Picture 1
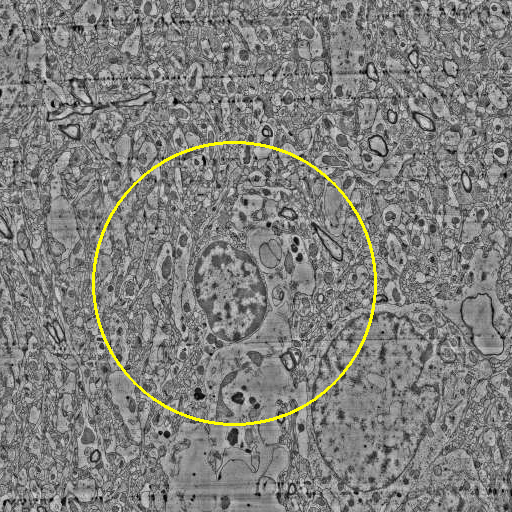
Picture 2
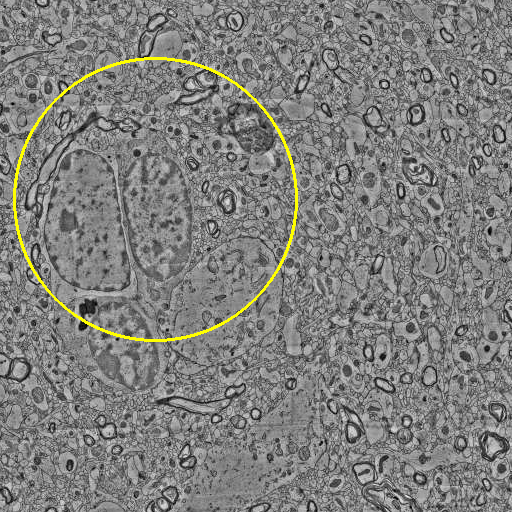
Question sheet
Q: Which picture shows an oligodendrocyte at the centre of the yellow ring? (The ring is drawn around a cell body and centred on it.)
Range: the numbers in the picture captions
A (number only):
2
